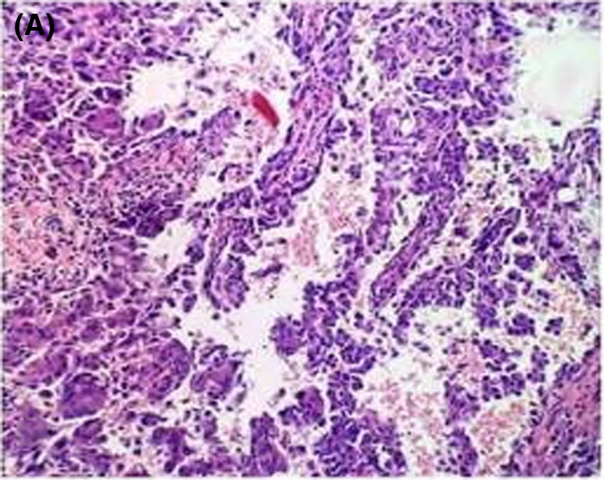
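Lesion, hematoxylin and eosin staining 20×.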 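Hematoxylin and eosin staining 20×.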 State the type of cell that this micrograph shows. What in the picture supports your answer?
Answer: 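Large dark nuclei. Cells lie in cords and sheets.
Answer: epithelioid cells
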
